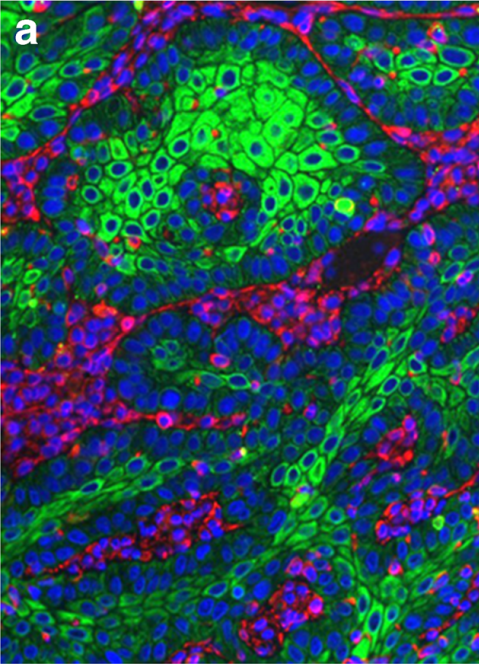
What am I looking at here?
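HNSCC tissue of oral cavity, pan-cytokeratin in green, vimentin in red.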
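The tumour cells are large and polygonal, with green-outlined borders and round to oval blue nuclei, and they lie tightly packed in compact islands of various size. Some areas of the nests show stronger, diffuse green cytoplasm. The overall pattern is one of sharply separated epithelial and stromal compartments.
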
